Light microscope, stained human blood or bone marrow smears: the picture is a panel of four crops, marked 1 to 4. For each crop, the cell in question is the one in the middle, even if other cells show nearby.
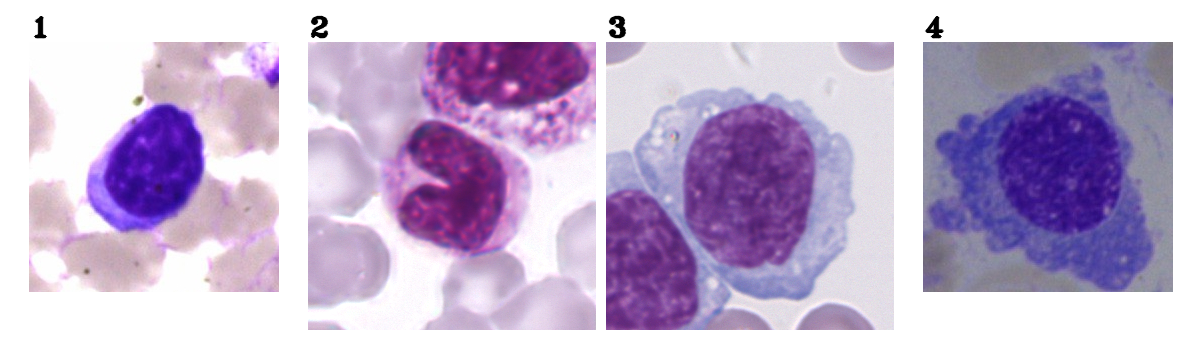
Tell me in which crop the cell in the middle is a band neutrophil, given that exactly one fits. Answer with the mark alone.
2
